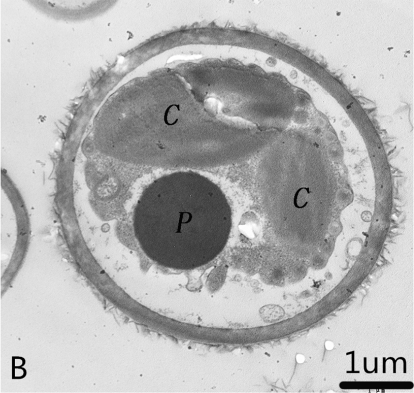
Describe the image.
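A single rounded microalgal cell is seen in thin section, showing its chloroplasts and a pyrenoid. A thick outer cell wall with a fringed, bristly surface encloses the cell. A clear space separates the wall from the shrunken protoplast. Inside, two large chloroplast lobes with fine parallel membrane layers take up much of the cytoplasm. Between them lies a large, round, uniformly electron-dense pyrenoid. The remaining cytoplasm holds small vesicles and membrane-bound bodies, and its edge is irregular and wavy.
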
